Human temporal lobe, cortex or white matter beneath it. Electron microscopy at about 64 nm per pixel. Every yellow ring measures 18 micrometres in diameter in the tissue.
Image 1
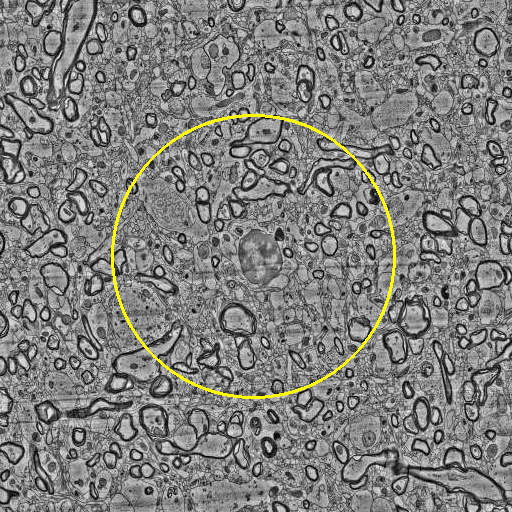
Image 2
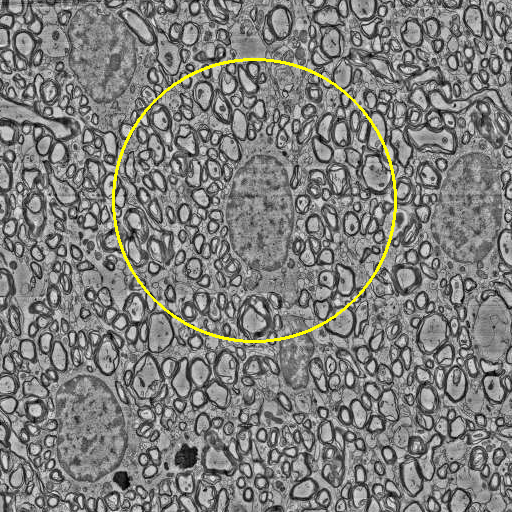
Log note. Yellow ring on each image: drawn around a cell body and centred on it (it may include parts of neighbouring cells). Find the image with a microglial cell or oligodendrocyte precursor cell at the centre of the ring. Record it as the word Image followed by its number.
Image 1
